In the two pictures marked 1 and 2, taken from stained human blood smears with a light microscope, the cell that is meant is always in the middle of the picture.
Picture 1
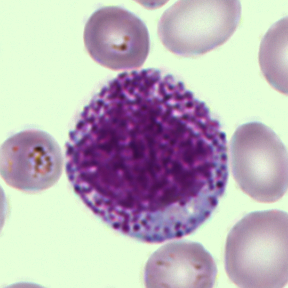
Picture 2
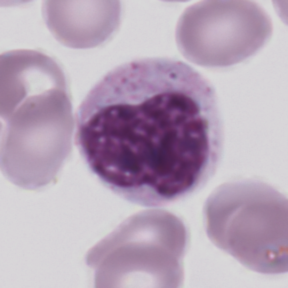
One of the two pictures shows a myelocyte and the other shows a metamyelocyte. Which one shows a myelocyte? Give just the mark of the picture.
1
